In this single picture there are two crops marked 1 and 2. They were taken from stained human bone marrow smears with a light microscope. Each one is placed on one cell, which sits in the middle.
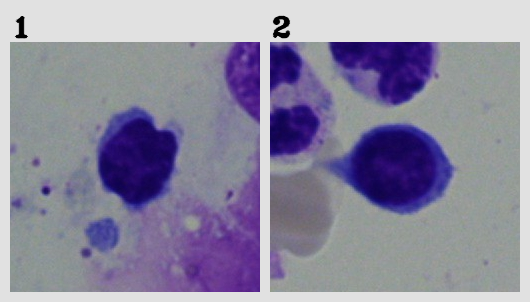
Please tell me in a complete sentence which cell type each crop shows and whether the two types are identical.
Yes, both crops are centred on lymphocytes.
